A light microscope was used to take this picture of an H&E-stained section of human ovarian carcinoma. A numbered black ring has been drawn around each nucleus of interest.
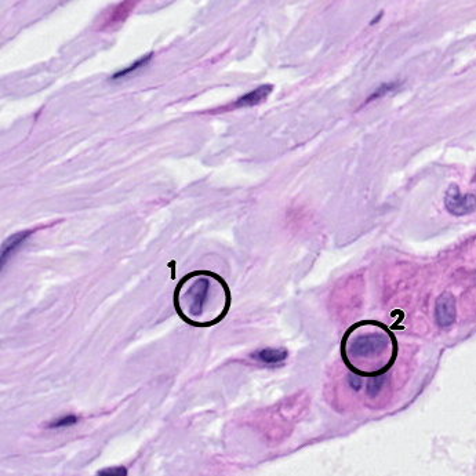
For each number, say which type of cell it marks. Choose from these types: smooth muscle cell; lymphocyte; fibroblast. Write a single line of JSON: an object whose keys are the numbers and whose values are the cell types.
{"1": "fibroblast", "2": "smooth muscle cell"}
